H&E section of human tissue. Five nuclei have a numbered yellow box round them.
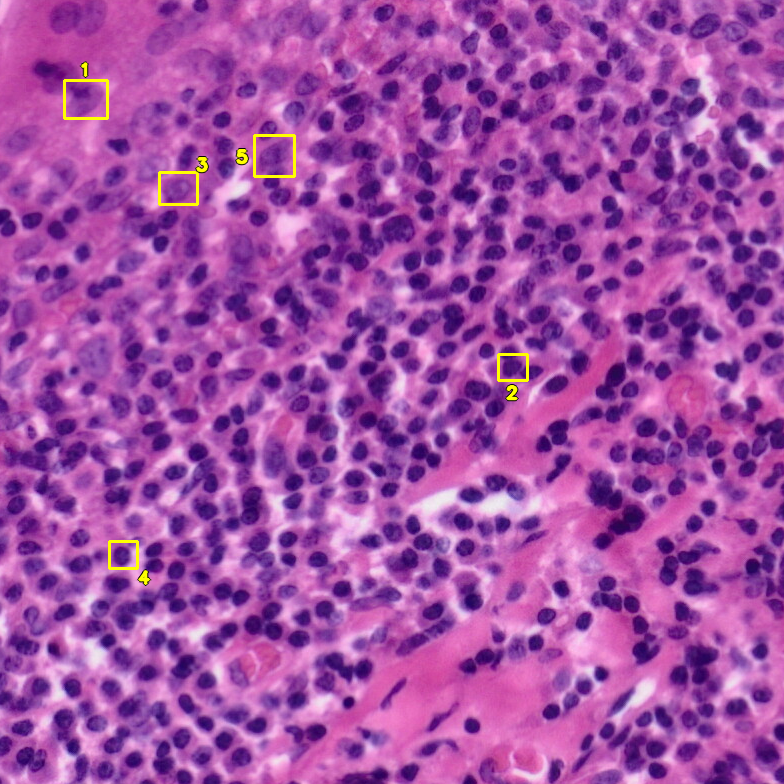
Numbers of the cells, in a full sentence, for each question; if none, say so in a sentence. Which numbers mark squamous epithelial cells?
Cells 1, 3 and 5 are of one type, namely squamous epithelial cells.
